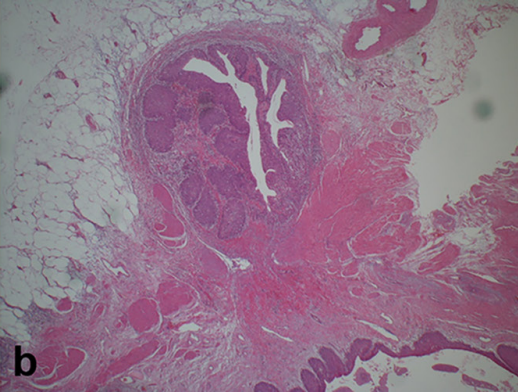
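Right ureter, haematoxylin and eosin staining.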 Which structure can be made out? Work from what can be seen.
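A rounded, sharply bounded nest of dark purple epithelium with branching clefts. The nest lies among pale, empty-looking fat cells. Pink fibrous and muscle tissue lies beside the nest. So: cancer cell nests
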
